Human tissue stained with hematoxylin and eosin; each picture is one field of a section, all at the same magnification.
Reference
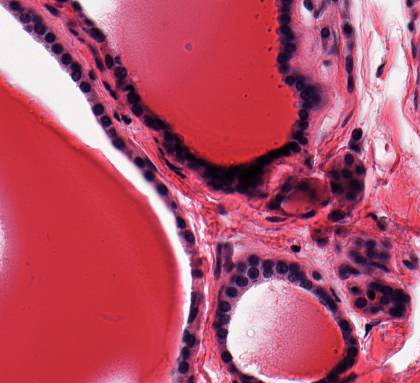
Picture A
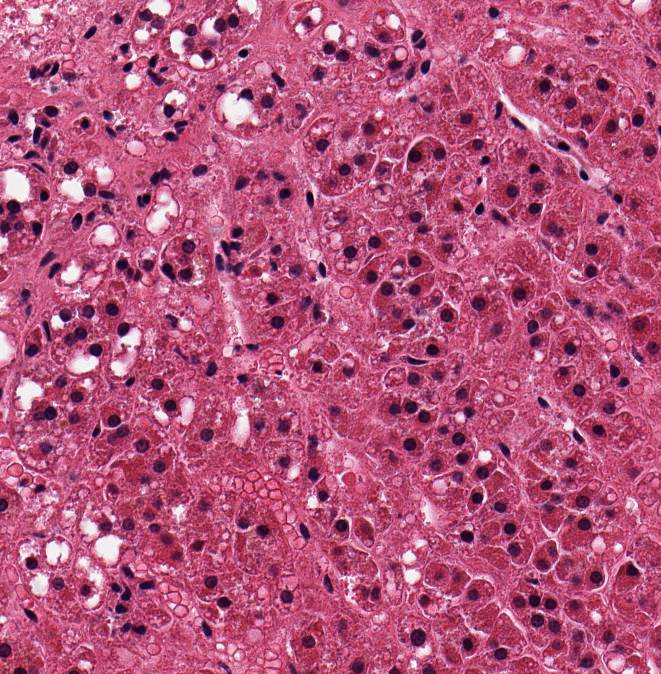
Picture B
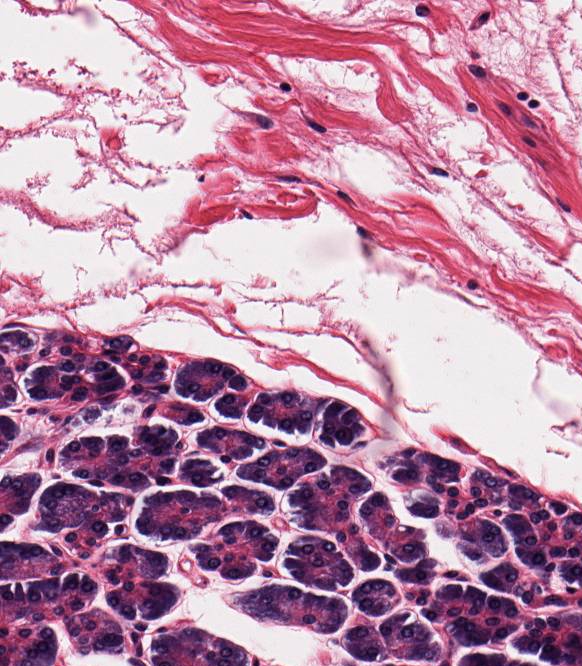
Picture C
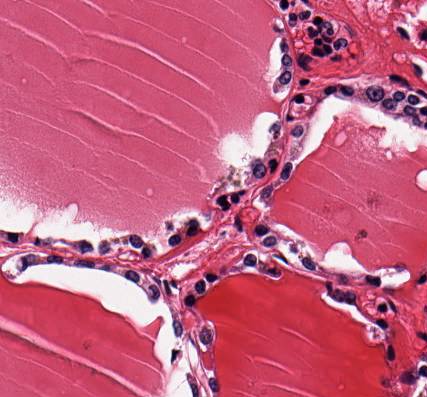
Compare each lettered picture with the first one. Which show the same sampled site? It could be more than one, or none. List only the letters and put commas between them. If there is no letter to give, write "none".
C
